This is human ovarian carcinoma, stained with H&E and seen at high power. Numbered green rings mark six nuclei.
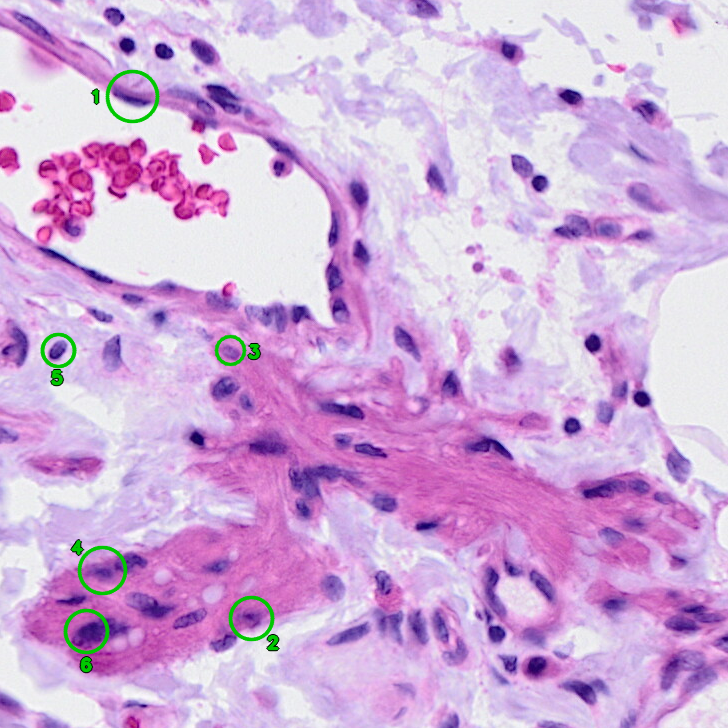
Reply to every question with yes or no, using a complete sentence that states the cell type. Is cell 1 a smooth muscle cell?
No, cell 1 should be read as an endothelial cell instead of a smooth muscle cell.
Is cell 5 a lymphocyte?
Yes, the cell denoted by 5 is a lymphocyte.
